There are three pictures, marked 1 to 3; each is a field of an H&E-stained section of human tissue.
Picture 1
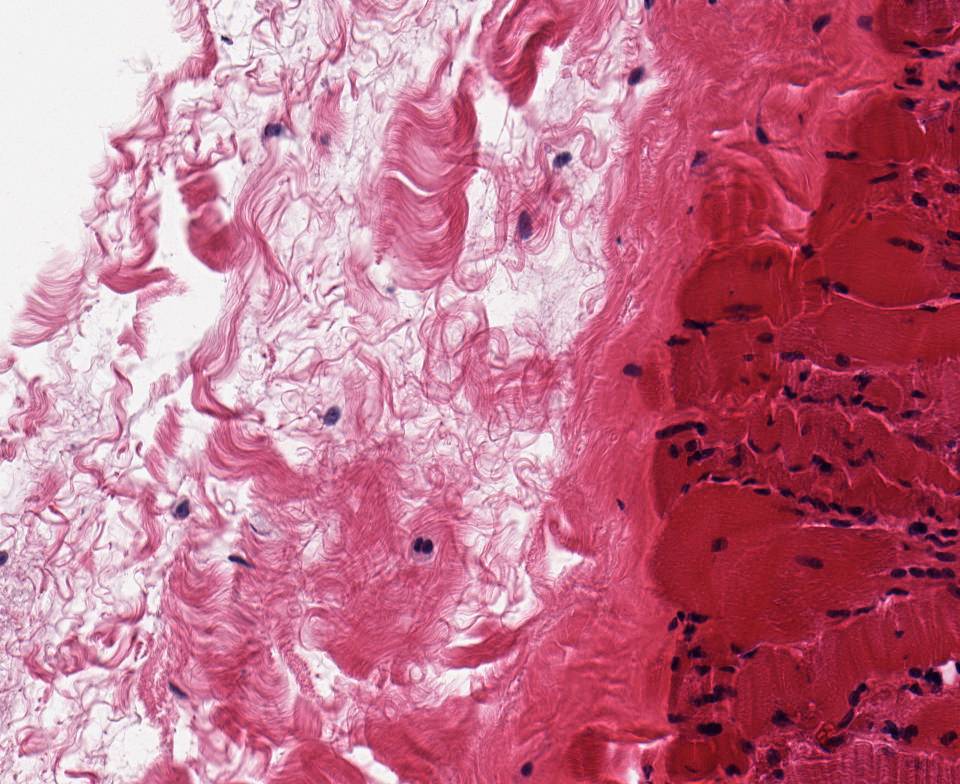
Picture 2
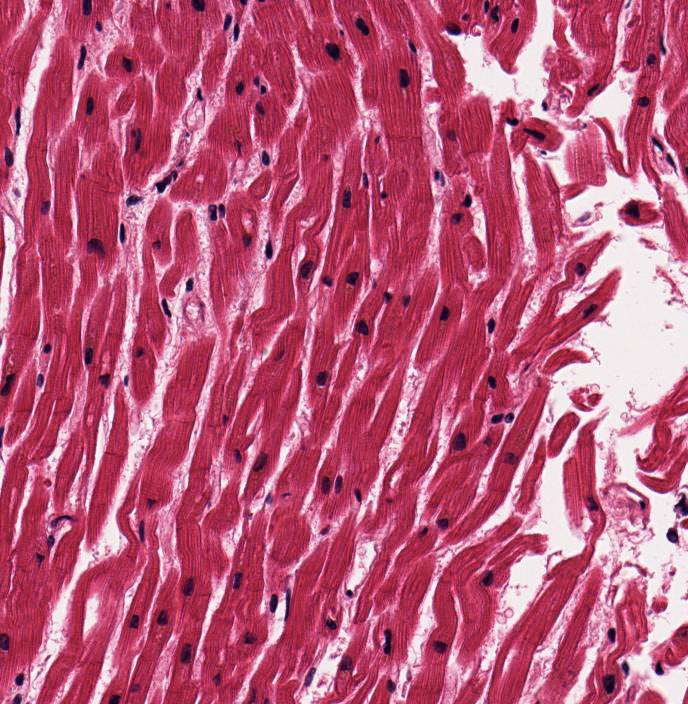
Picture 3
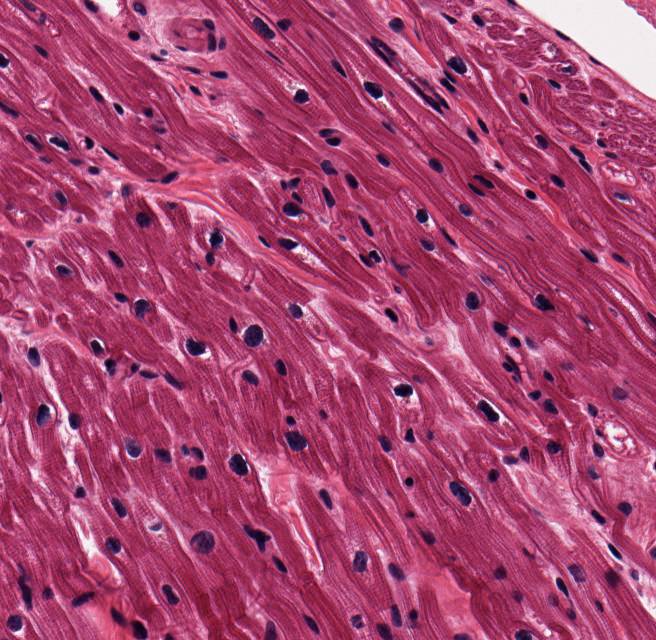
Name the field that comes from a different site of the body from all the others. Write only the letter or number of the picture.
1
